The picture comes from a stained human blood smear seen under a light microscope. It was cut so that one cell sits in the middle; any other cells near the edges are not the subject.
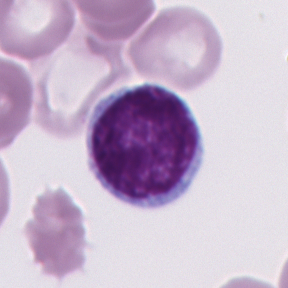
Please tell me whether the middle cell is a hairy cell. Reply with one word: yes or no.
no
